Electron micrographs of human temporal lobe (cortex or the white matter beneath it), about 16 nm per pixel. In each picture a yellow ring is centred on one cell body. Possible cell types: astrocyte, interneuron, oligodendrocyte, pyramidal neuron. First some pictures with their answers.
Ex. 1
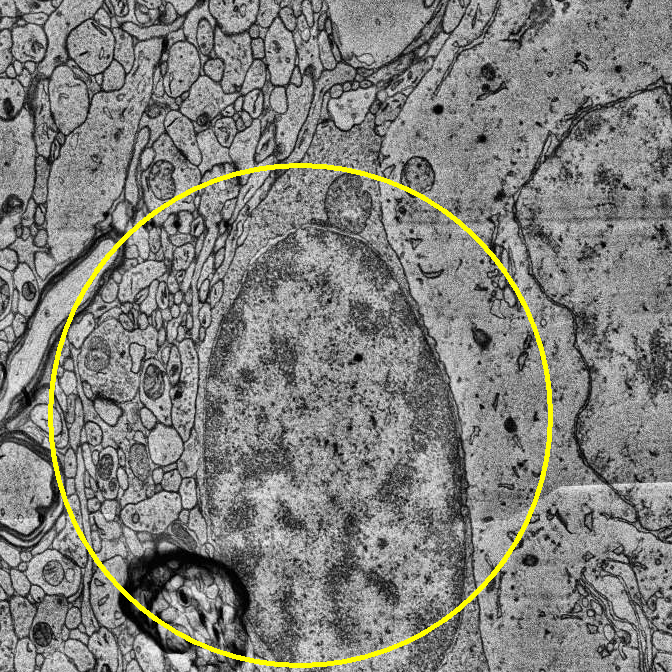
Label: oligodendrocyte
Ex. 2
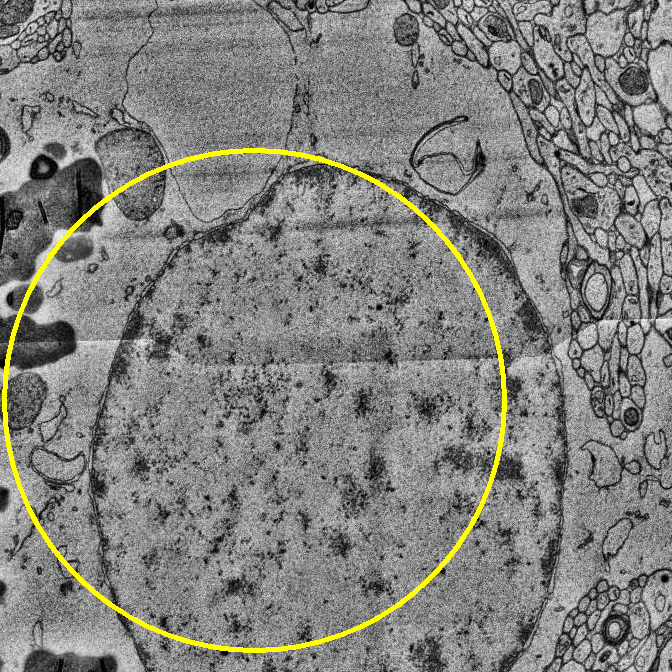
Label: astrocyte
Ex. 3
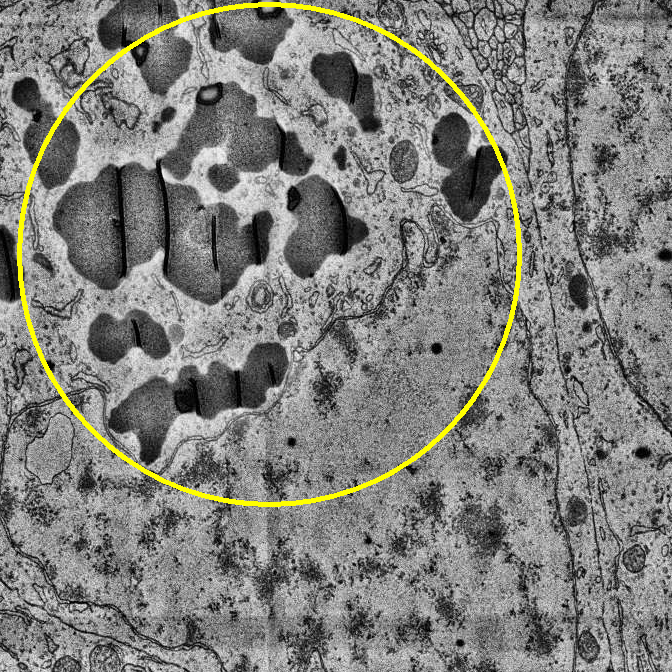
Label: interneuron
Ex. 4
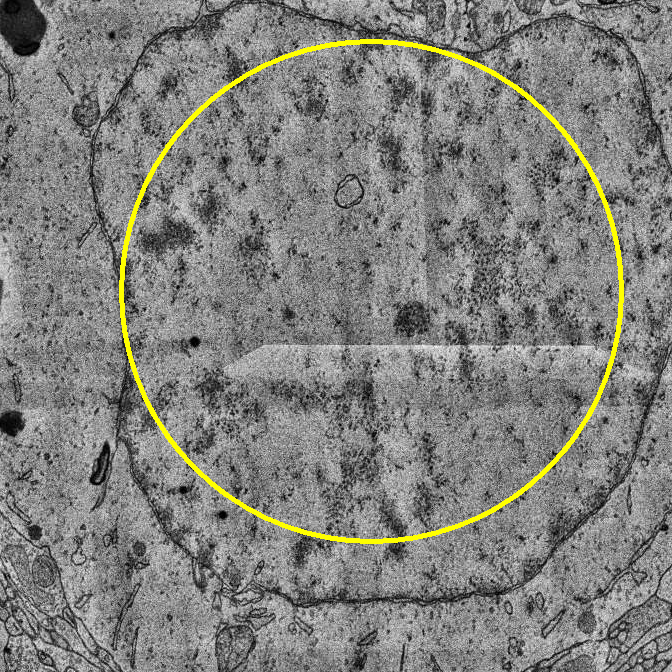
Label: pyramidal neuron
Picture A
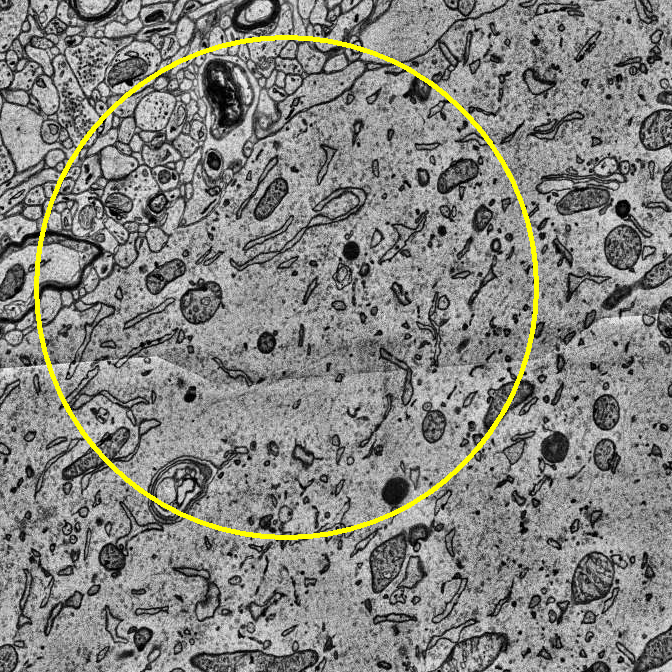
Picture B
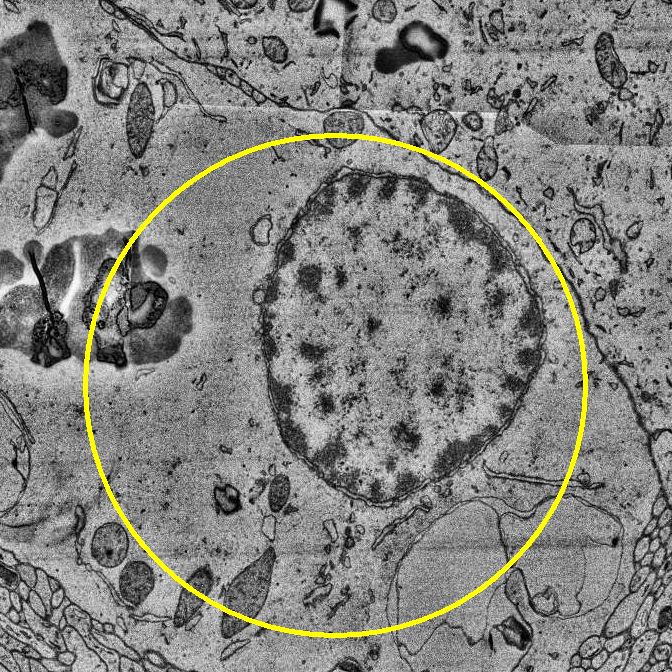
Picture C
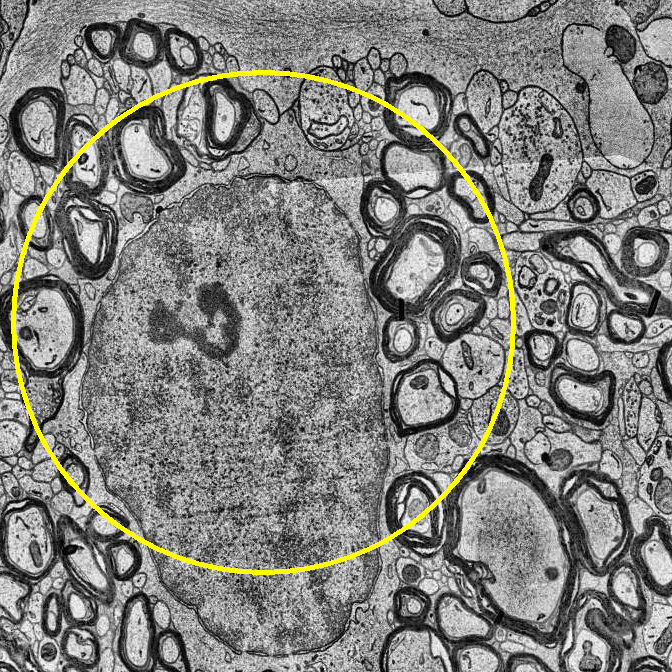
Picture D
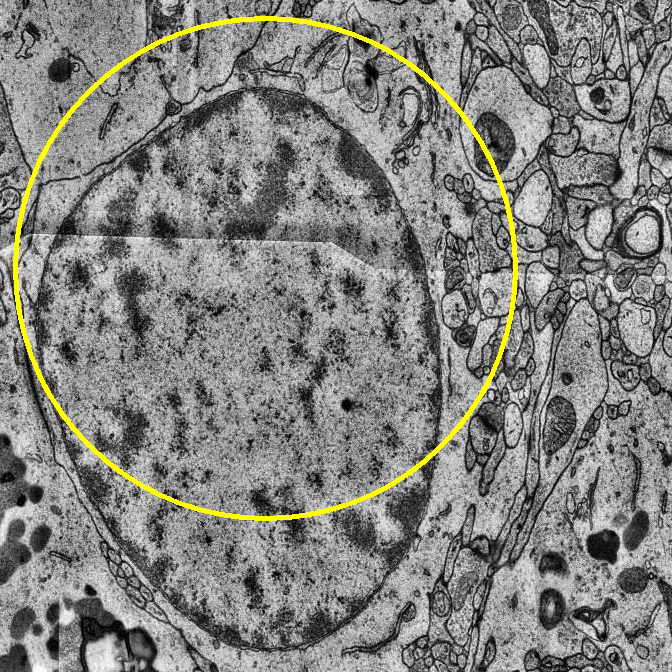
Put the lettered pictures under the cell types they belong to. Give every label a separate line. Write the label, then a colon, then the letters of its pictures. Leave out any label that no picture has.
astrocyte: B, D
oligodendrocyte: C
pyramidal neuron: A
